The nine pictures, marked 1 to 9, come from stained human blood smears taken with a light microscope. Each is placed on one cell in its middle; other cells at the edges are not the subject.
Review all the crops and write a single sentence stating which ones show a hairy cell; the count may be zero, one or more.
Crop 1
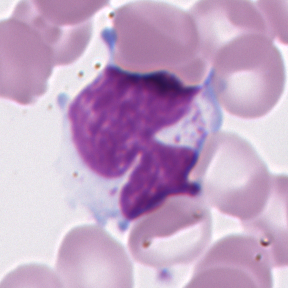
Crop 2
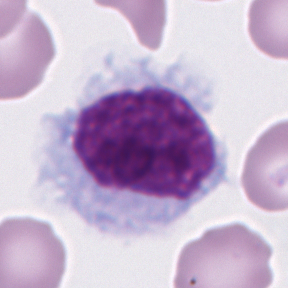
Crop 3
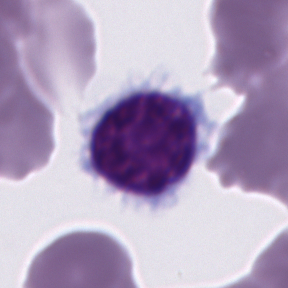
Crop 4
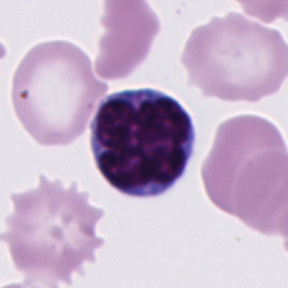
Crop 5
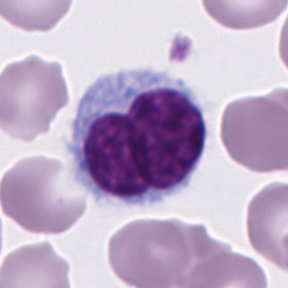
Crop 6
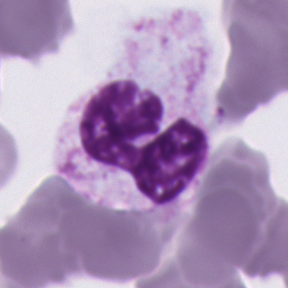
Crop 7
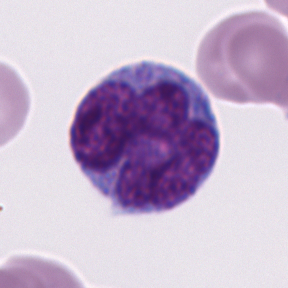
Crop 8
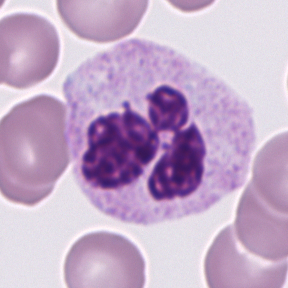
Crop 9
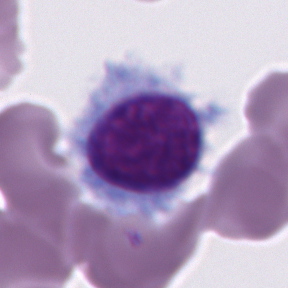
With respect to crops 2, 3, 5 and 9, the cells shown are hairy cells.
